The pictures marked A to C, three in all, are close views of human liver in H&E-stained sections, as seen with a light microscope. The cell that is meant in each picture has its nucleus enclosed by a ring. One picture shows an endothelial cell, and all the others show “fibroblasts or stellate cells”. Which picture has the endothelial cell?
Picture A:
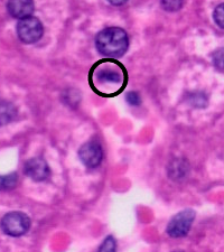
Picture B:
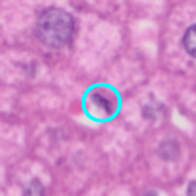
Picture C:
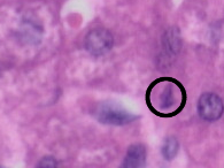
B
